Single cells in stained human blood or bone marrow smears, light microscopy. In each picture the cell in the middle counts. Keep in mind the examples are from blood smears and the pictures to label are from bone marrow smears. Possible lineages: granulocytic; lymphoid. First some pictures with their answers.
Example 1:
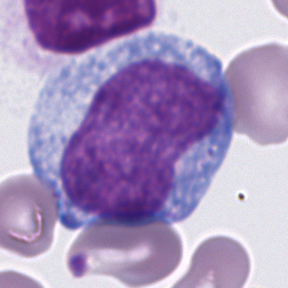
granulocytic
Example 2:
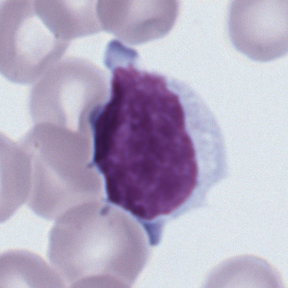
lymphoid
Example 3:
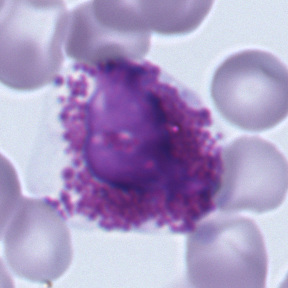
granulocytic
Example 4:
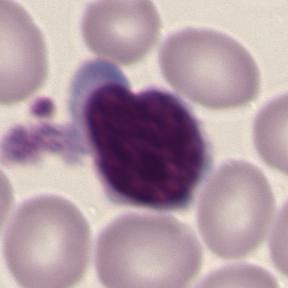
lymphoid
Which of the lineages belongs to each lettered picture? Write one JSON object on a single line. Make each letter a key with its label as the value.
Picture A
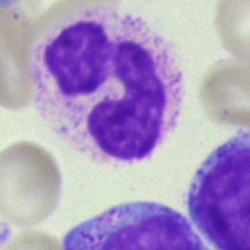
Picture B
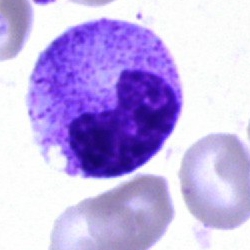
{"A": "granulocytic", "B": "granulocytic"}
